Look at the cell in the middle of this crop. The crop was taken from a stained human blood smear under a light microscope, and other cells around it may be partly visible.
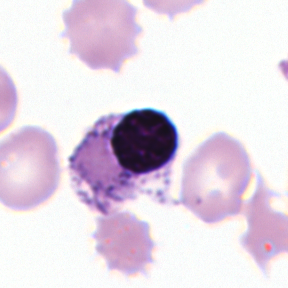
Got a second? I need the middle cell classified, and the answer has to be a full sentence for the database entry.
Present in the middle of the crop is a normoblast.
